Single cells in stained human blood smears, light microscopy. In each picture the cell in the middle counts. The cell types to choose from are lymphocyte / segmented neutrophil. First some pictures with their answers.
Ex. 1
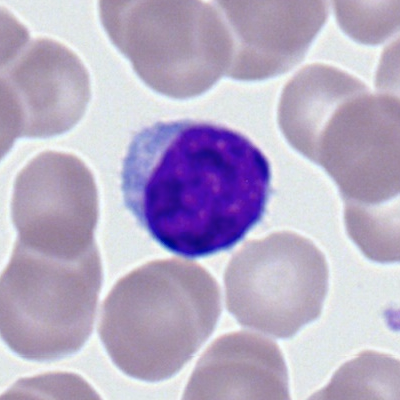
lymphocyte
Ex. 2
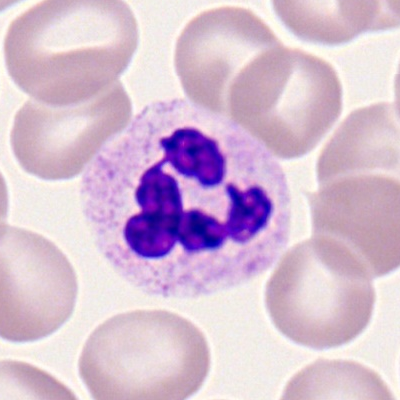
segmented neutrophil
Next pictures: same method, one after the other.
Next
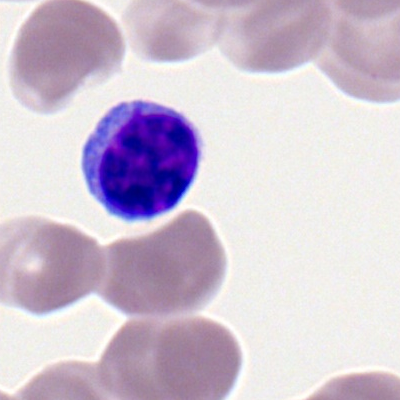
lymphocyte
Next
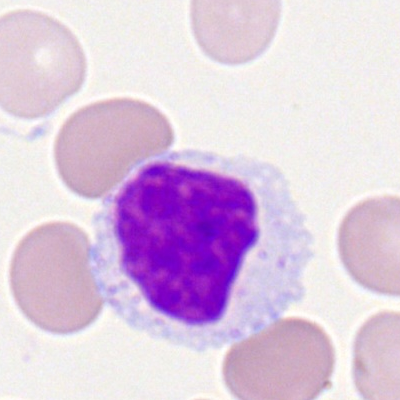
lymphocyte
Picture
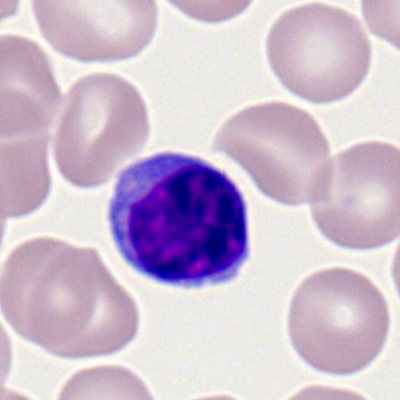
lymphocyte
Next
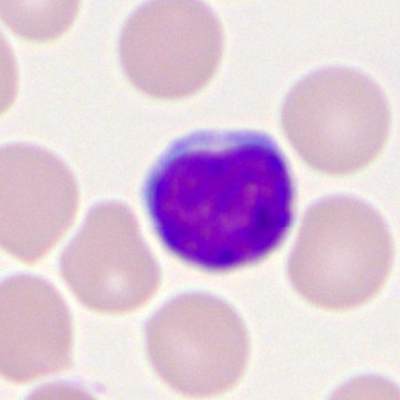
lymphocyte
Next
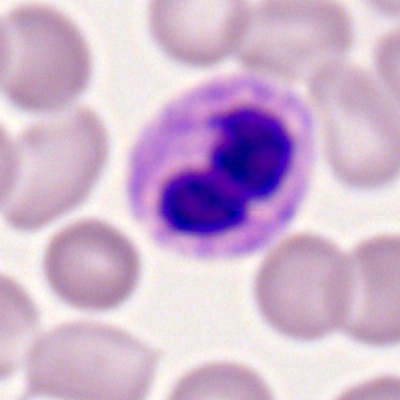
segmented neutrophil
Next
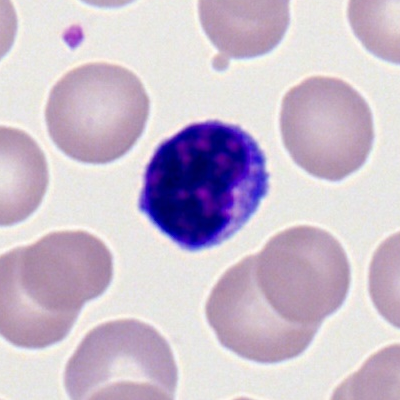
lymphocyte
